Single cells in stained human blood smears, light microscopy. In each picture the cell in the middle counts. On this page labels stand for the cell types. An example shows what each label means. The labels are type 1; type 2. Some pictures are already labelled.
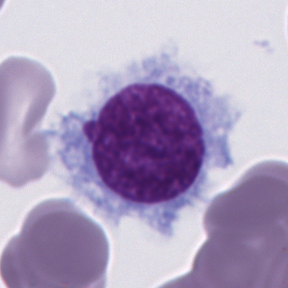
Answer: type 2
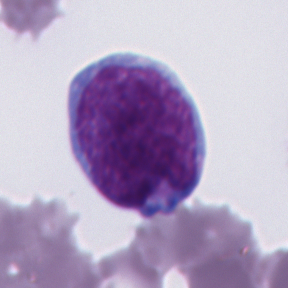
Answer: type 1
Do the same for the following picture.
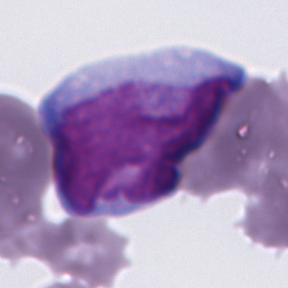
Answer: type 1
